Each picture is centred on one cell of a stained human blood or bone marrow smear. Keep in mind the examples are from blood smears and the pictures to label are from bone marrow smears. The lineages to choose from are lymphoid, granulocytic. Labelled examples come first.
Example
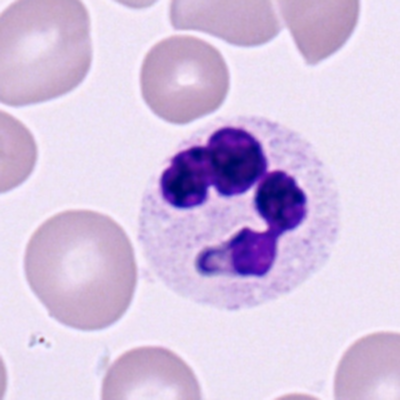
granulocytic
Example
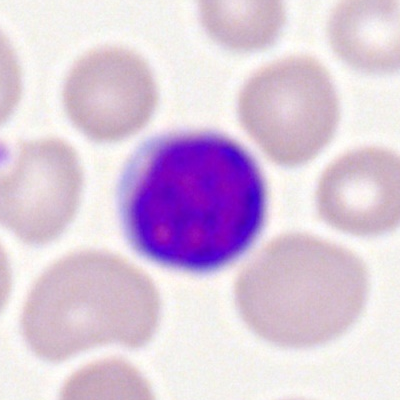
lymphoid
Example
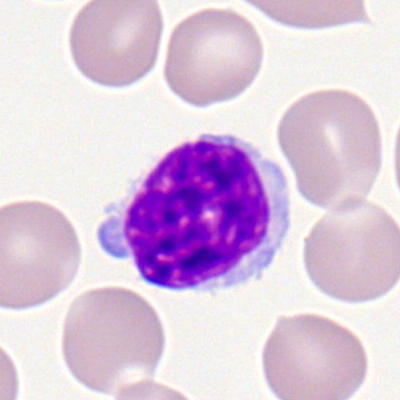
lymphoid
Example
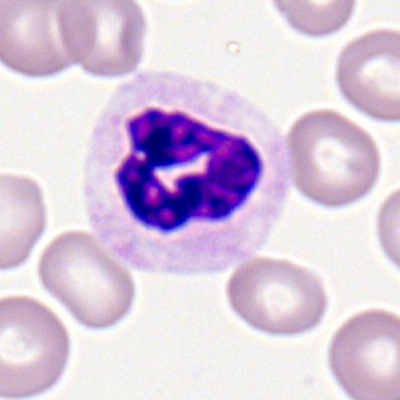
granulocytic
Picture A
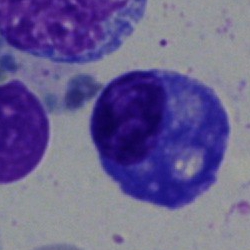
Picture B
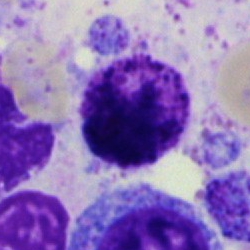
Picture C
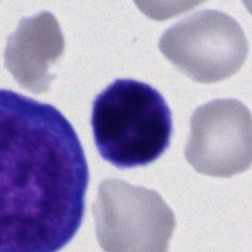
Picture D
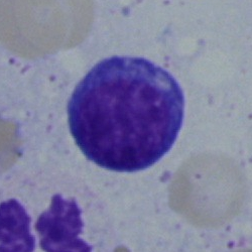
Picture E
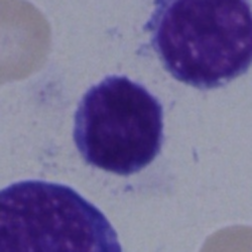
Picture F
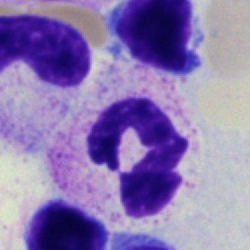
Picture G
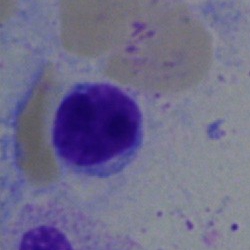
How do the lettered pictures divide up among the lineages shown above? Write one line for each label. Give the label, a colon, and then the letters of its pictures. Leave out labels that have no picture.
lymphoid: A, C, D, E, G
granulocytic: B, F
